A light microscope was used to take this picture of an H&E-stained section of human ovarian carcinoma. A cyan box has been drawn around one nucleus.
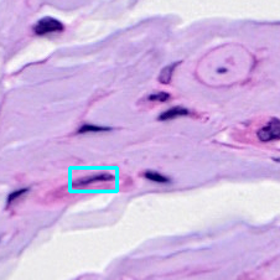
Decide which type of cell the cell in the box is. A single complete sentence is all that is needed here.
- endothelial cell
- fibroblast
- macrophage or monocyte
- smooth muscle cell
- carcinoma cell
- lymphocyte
Placed in its cell category, the cell in the box is an endothelial cell.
